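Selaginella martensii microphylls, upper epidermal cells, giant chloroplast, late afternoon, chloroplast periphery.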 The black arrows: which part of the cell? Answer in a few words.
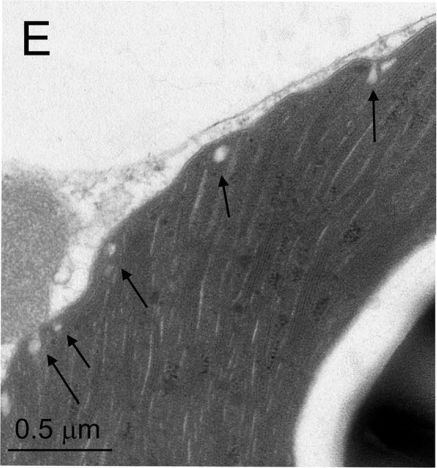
Vesicles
